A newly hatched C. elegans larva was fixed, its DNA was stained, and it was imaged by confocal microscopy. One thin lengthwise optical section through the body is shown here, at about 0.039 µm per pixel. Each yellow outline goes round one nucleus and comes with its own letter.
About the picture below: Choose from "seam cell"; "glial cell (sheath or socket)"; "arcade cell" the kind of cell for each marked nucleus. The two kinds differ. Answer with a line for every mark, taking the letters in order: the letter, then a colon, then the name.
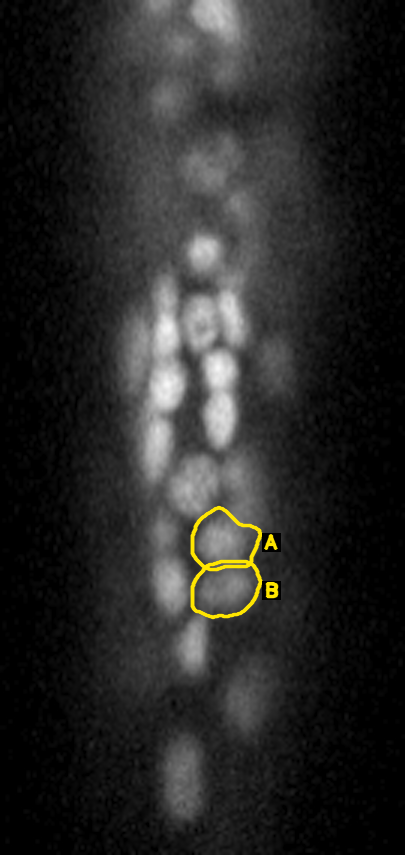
A: glial cell (sheath or socket)
B: arcade cell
